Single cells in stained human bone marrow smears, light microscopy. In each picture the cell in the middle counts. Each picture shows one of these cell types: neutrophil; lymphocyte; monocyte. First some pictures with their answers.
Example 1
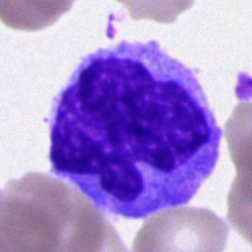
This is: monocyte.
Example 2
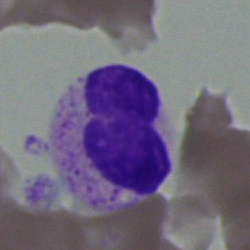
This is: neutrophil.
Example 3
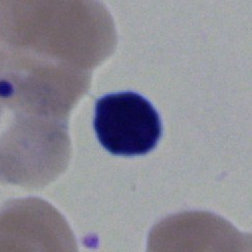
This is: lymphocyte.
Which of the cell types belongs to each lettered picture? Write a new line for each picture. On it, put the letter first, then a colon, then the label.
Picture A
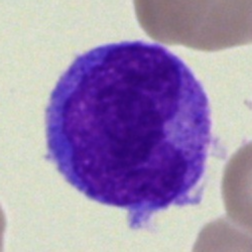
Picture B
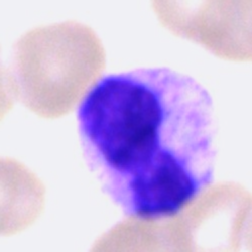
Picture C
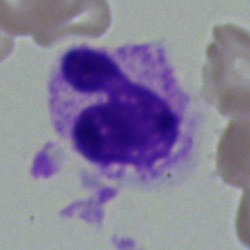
A: monocyte.
B: neutrophil.
C: neutrophil.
